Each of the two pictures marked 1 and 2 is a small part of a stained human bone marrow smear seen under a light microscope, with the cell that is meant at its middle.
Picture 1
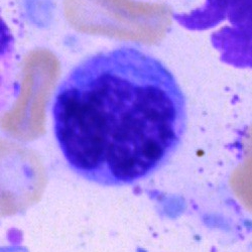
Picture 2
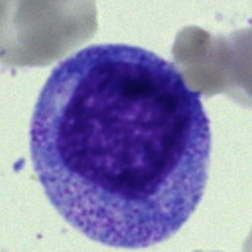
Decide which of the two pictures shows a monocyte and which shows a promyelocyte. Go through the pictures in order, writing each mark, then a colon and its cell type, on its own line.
1: monocyte
2: promyelocyte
